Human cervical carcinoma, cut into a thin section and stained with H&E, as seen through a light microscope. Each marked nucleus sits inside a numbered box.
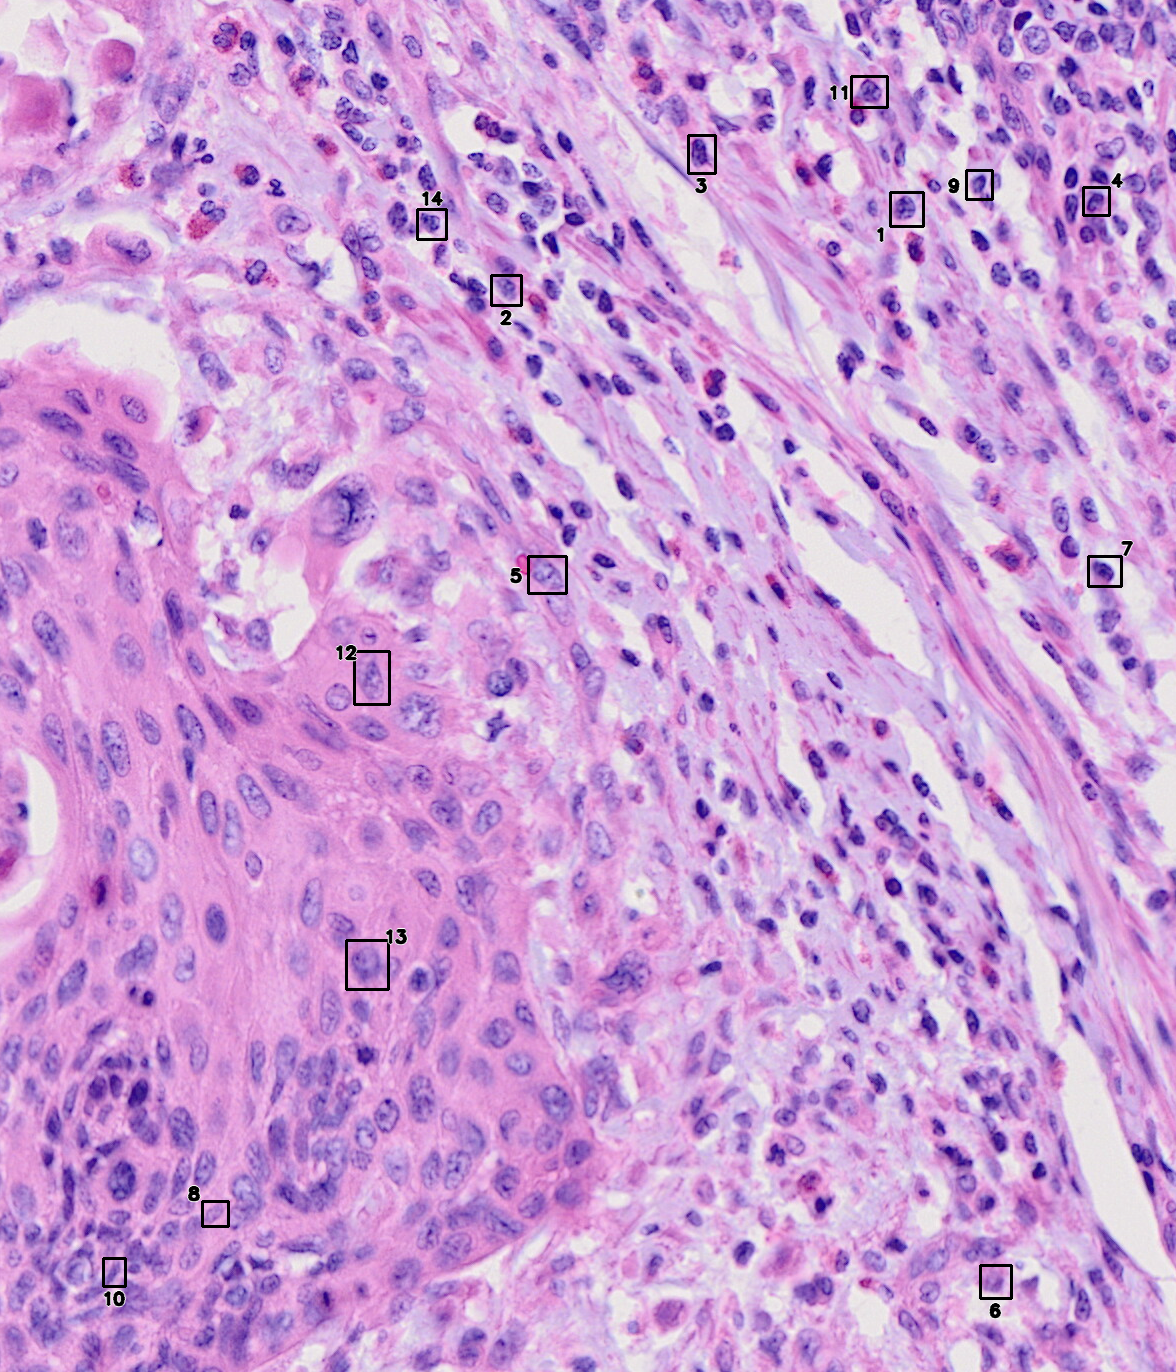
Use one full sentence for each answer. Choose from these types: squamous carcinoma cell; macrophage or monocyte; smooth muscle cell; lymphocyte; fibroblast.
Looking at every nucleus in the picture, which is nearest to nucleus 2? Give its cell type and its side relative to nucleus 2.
The nearest nucleus is that of a macrophage or monocyte and lies above nucleus 2.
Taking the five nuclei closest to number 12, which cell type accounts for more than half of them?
Around number 12, most of the five nearest nuclei are those of squamous carcinoma cells.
